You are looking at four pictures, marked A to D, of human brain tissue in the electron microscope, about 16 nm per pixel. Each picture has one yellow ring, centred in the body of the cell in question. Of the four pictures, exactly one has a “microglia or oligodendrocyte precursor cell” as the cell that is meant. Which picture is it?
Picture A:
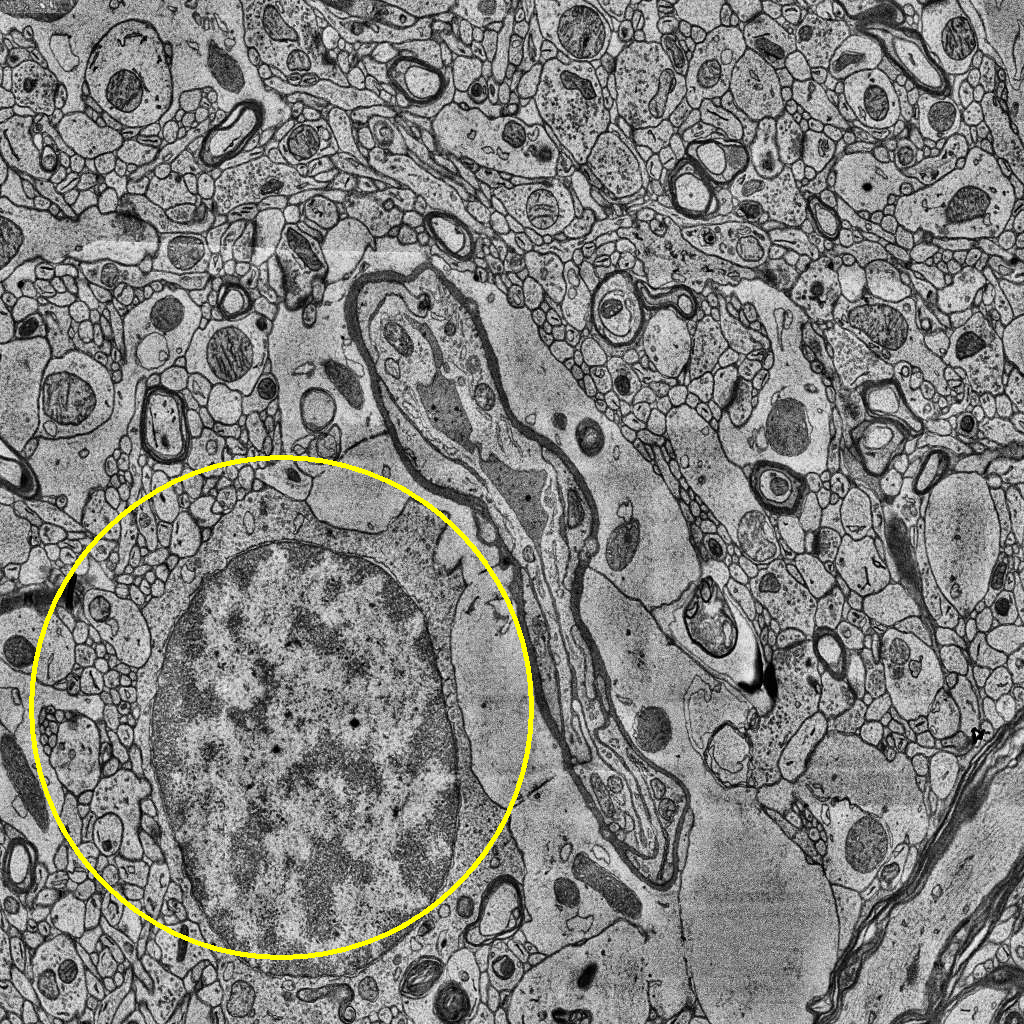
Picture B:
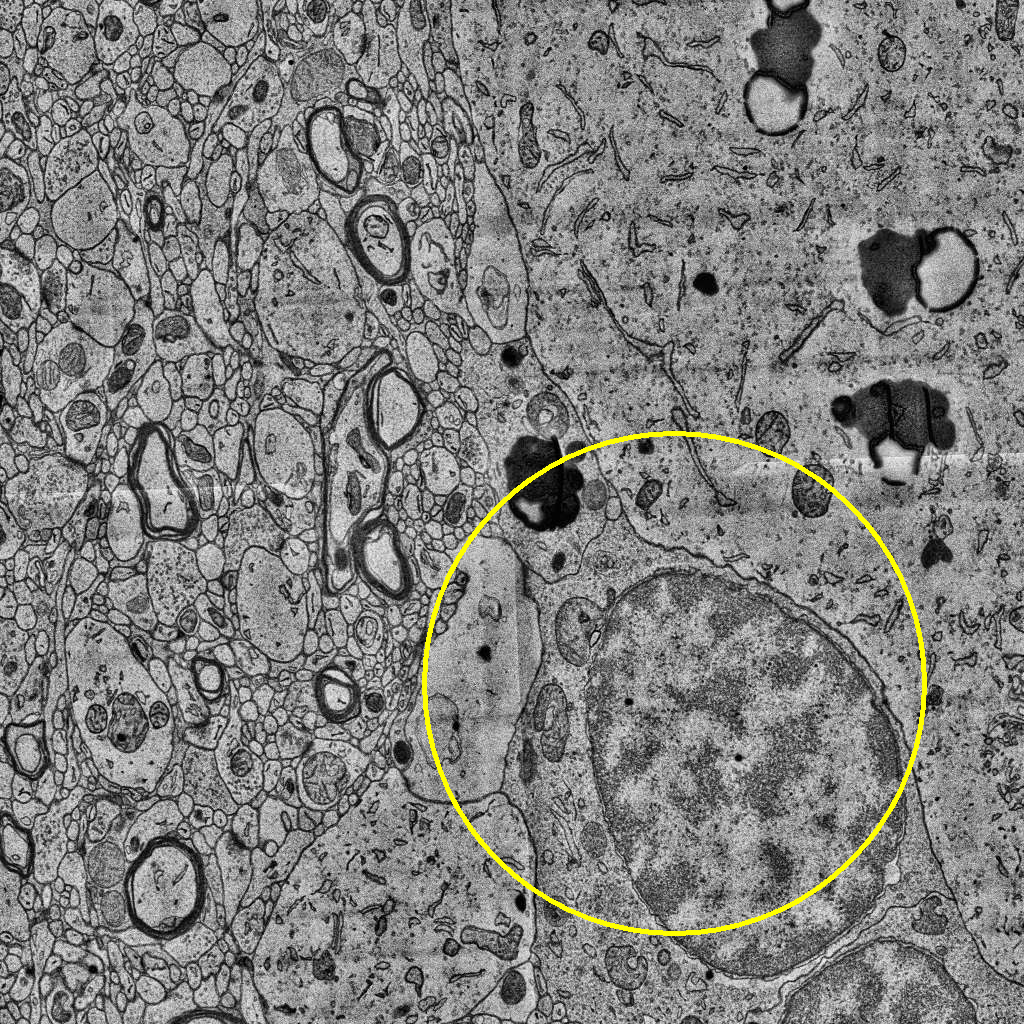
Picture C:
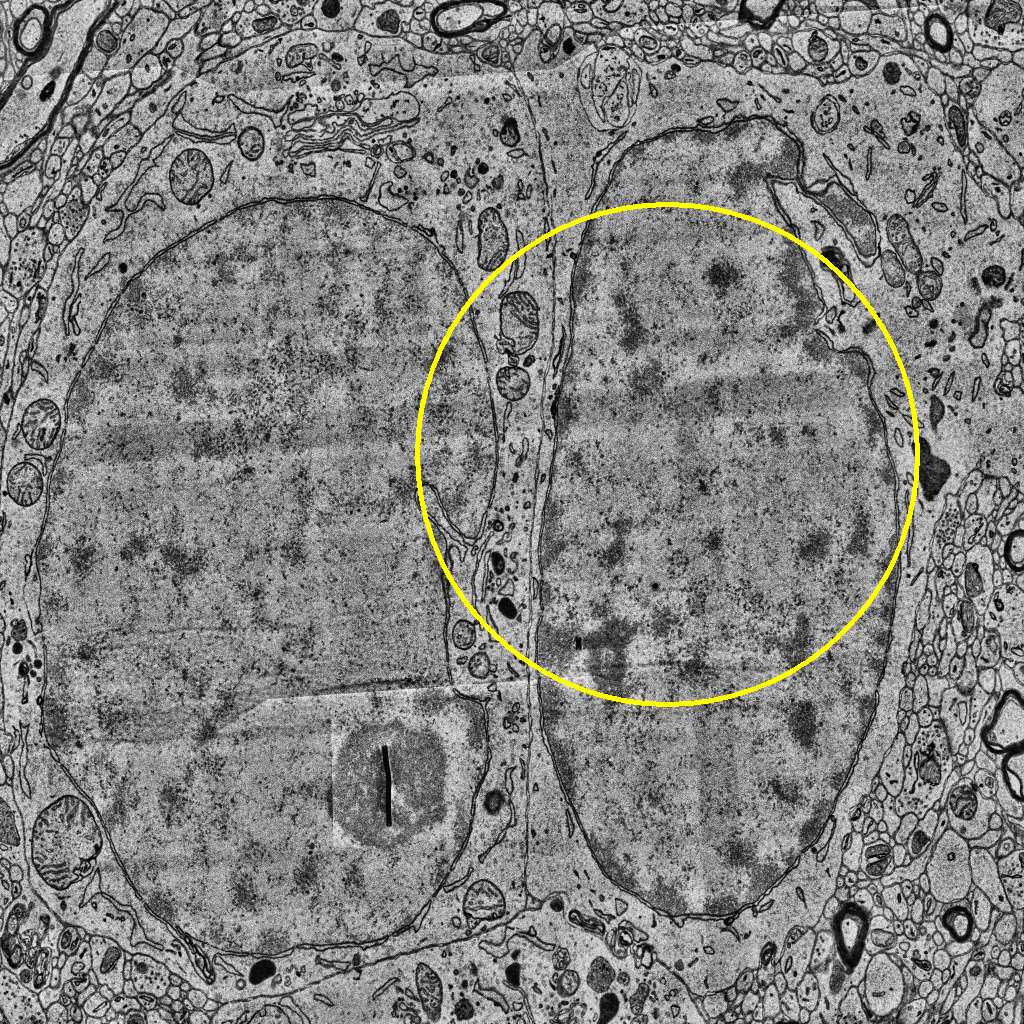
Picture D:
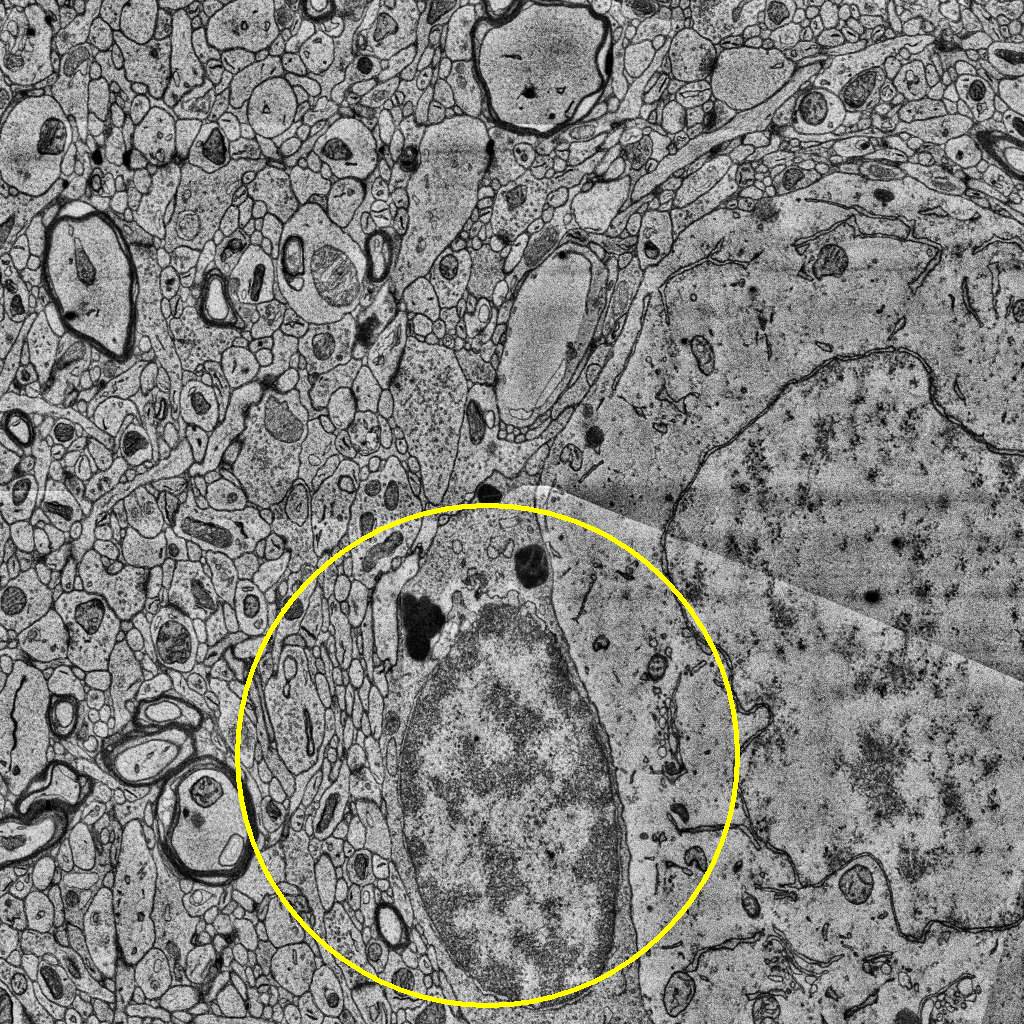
Picture C is the one that shows the “microglia or oligodendrocyte precursor cell”.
